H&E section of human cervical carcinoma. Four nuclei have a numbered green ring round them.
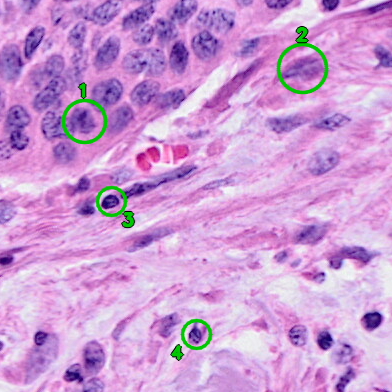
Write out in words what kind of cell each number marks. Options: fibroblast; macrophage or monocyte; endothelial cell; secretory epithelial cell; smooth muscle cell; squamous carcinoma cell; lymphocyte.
Cell 1 is a squamous carcinoma cell, cell 2 is a fibroblast, cell 3 is a lymphocyte and cell 4 is a lymphocyte.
